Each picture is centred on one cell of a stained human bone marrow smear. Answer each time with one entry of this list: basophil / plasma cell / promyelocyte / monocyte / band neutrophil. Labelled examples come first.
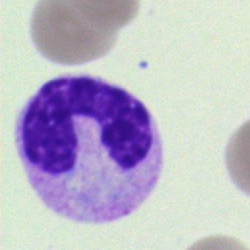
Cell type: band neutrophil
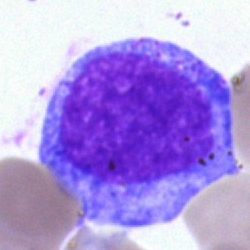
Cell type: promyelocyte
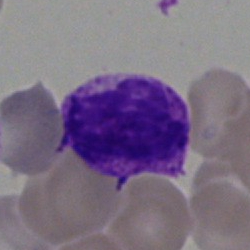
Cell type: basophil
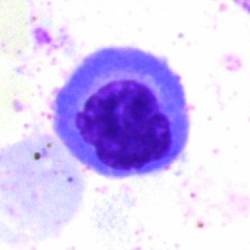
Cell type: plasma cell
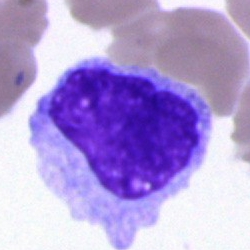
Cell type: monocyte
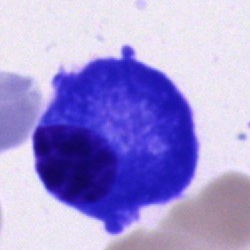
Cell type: plasma cell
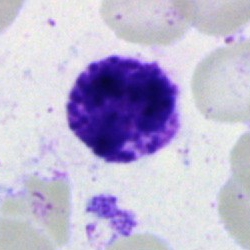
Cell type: basophil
